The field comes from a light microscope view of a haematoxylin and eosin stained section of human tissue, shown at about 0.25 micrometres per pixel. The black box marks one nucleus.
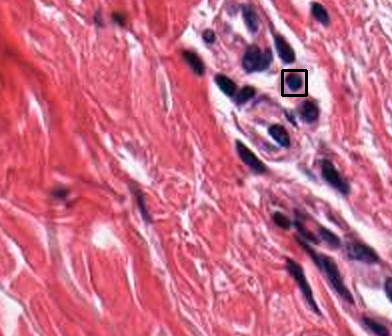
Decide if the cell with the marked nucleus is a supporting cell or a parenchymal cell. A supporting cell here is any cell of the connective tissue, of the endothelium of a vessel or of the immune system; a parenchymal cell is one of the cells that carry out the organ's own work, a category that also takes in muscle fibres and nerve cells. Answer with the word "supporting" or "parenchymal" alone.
supporting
